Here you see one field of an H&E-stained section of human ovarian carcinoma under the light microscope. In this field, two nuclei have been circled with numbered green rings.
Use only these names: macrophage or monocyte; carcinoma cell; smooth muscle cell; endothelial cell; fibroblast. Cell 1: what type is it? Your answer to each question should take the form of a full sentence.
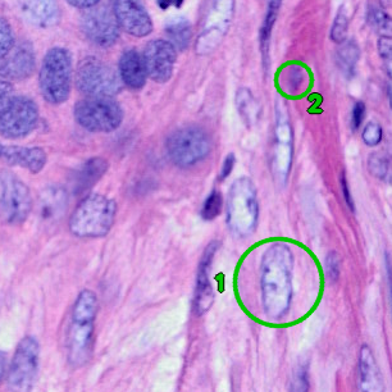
Number 1 is placed on a fibroblast here.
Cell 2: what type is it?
The identity of cell 2 is that of a smooth muscle cell.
